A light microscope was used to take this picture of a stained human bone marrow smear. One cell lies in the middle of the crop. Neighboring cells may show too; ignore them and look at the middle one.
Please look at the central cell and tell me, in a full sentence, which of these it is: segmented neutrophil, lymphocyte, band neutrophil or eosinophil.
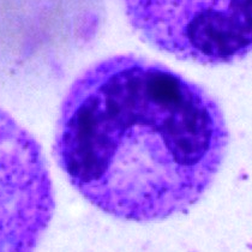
This crop has a band neutrophil at its centre.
